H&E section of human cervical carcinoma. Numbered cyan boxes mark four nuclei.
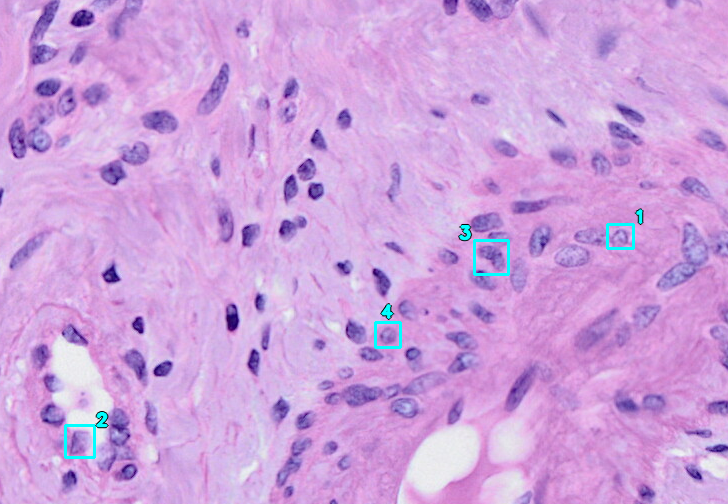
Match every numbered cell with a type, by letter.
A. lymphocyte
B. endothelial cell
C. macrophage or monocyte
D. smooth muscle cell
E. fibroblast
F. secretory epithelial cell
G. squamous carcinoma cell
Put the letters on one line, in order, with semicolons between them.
D; B; D; D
